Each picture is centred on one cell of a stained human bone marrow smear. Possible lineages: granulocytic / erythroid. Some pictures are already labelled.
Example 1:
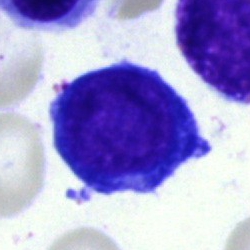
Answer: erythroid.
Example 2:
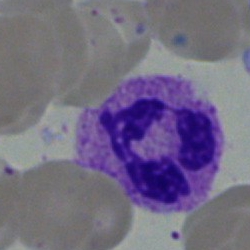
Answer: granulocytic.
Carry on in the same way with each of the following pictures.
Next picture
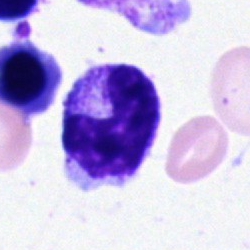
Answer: granulocytic.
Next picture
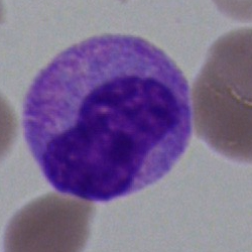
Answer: granulocytic.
